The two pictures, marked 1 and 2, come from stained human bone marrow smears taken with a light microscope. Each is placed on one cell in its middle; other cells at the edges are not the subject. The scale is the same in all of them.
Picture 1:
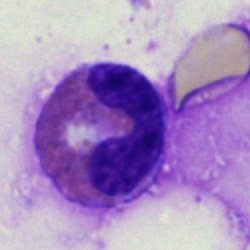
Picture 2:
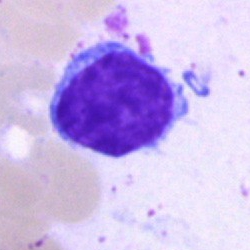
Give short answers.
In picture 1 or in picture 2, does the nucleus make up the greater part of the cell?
2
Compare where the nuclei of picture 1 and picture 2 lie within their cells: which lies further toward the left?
2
